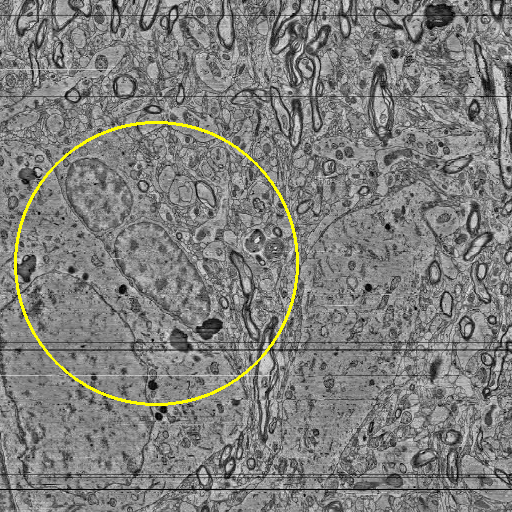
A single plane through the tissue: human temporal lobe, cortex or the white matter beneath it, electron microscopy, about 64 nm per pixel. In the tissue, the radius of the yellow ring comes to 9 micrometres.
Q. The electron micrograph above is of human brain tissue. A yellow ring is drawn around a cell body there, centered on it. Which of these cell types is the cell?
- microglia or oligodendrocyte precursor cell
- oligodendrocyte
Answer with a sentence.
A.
The cell under the ring's center is an oligodendrocyte.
